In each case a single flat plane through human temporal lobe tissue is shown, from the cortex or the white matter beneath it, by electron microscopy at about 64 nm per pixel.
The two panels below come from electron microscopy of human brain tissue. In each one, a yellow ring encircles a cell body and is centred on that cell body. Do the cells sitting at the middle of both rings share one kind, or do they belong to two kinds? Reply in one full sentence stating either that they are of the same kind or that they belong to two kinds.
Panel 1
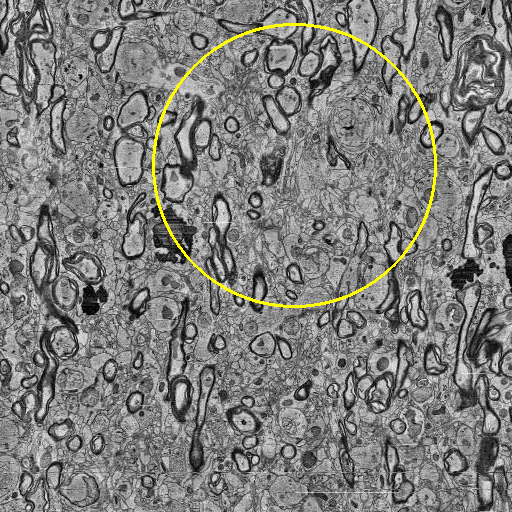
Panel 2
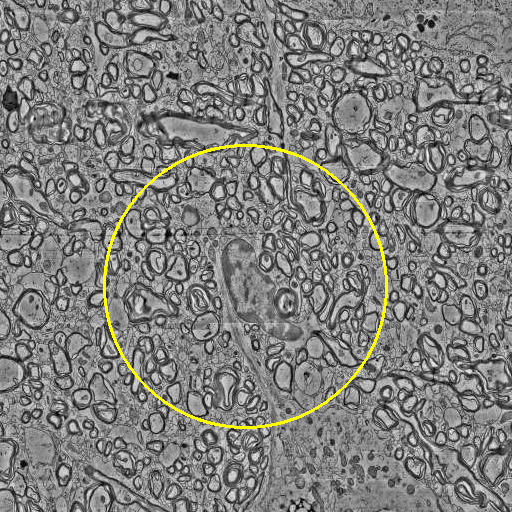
The cells at the centres of the two rings belong to two kinds.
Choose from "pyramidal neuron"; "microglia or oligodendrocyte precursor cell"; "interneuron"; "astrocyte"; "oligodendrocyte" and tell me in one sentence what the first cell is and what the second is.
What the first ring is centred on is an oligodendrocyte; what the second ring is centred on is a microglial cell or oligodendrocyte precursor cell.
